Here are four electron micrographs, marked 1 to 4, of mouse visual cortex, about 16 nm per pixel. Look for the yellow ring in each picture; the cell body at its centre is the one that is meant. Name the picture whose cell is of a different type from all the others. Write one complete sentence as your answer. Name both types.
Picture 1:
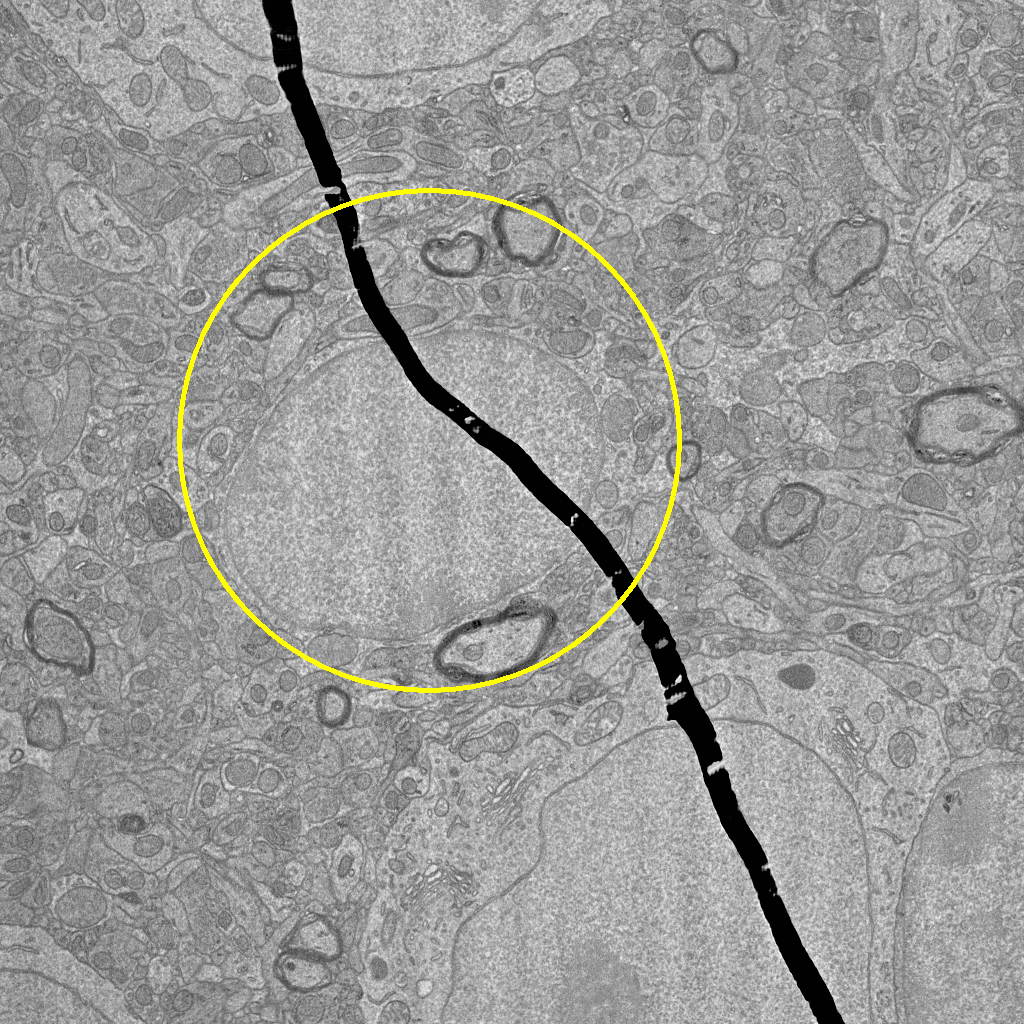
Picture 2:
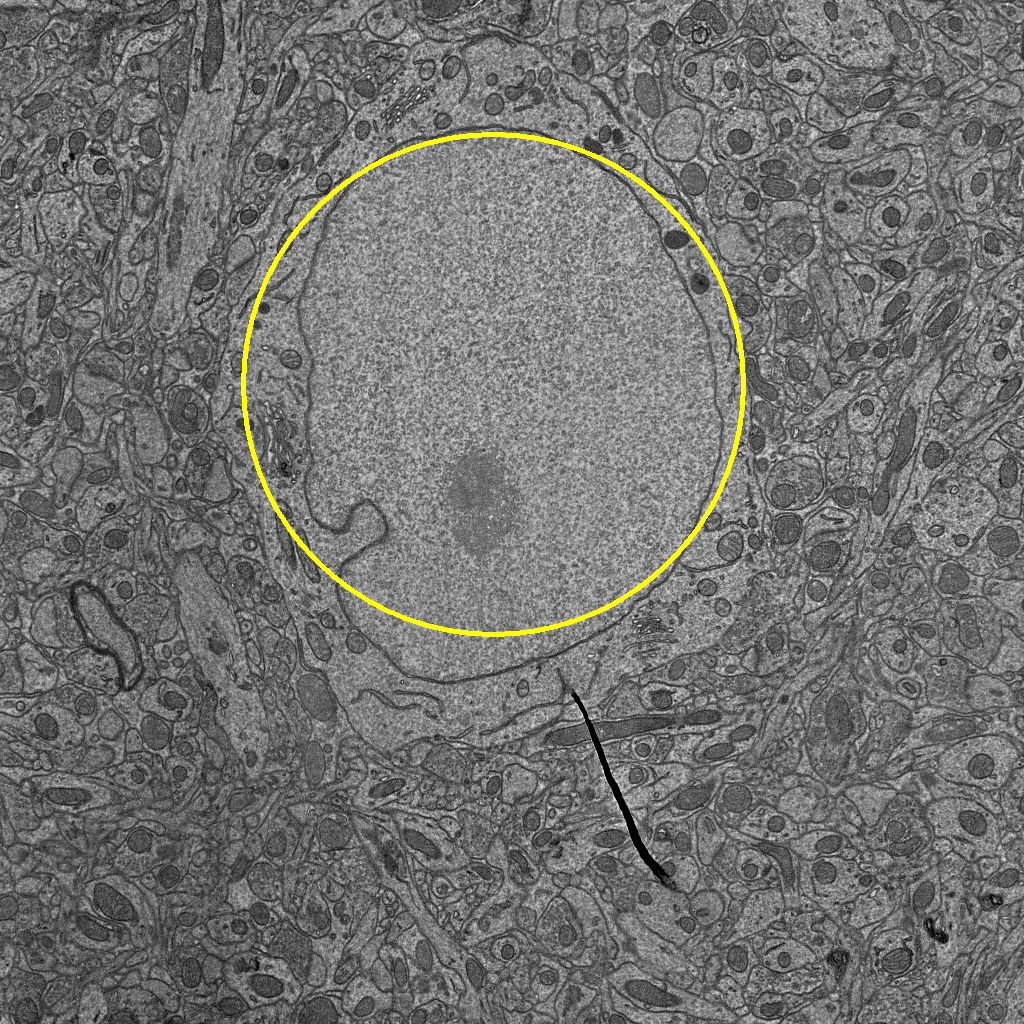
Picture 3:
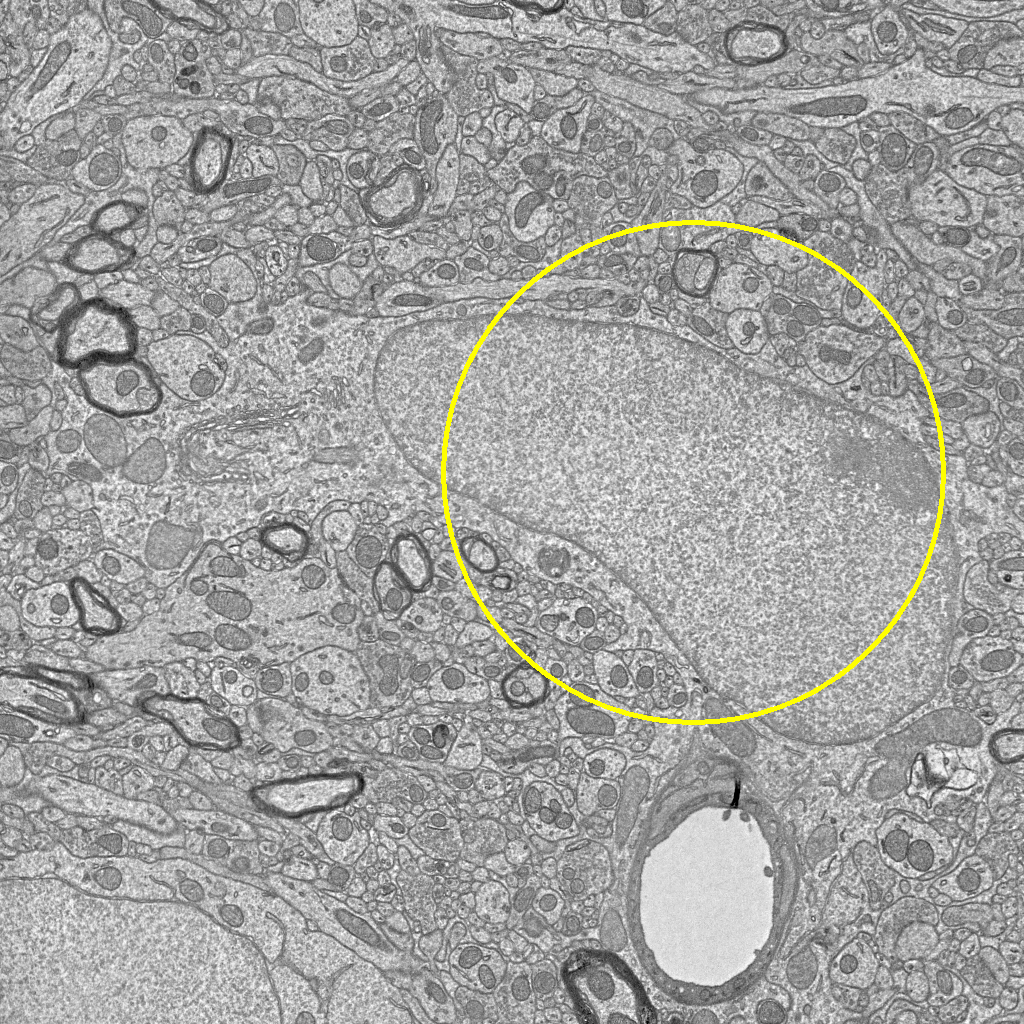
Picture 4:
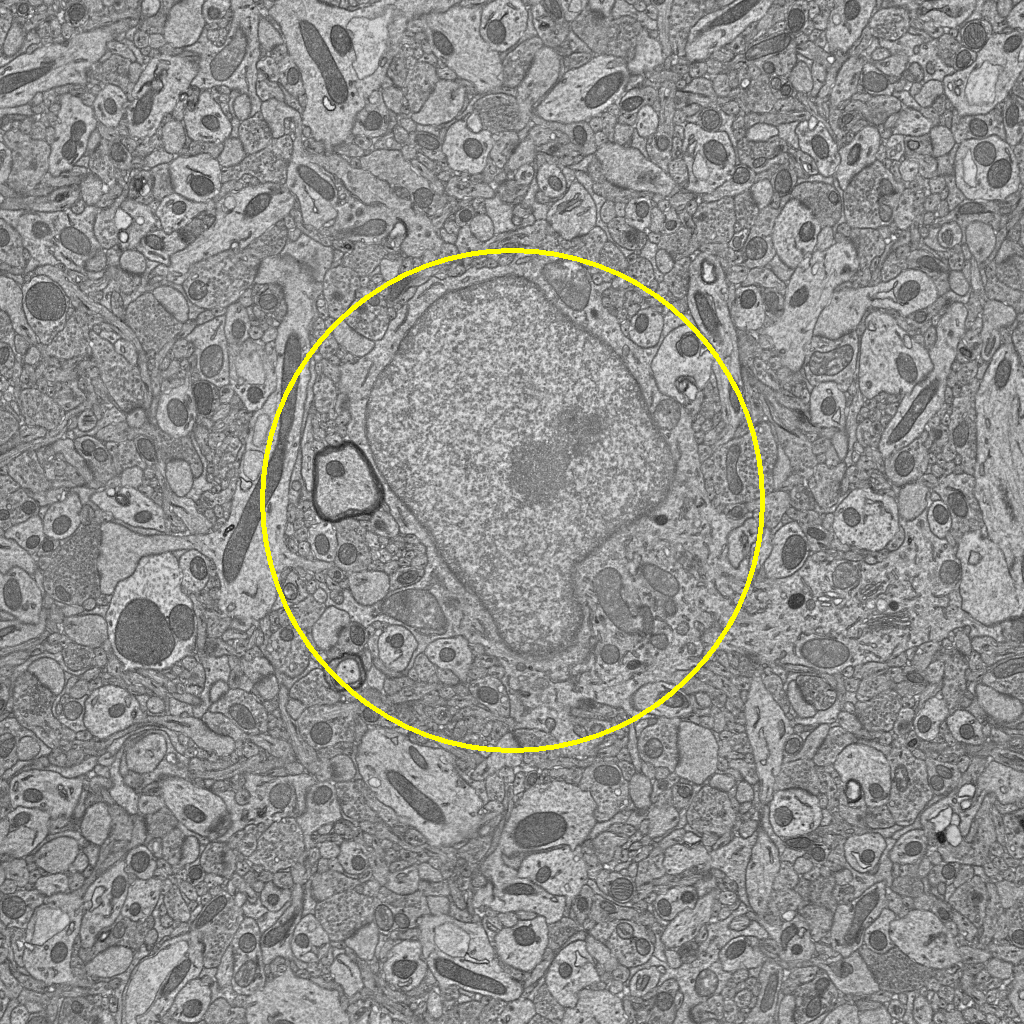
Picture 2 is the odd one out: it shows an excitatory neuron, while the others show astrocytes.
